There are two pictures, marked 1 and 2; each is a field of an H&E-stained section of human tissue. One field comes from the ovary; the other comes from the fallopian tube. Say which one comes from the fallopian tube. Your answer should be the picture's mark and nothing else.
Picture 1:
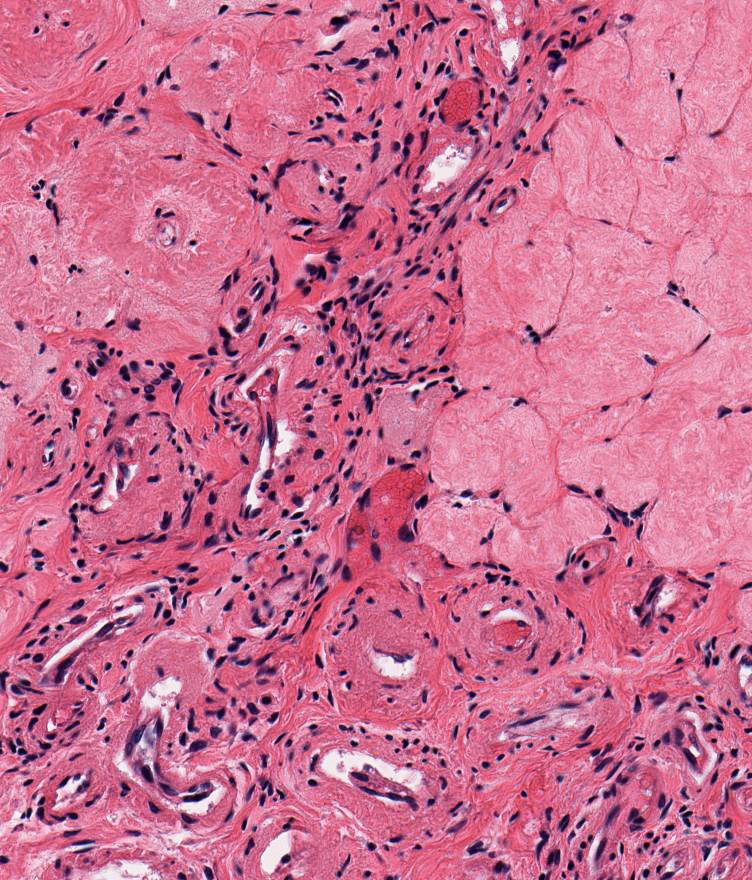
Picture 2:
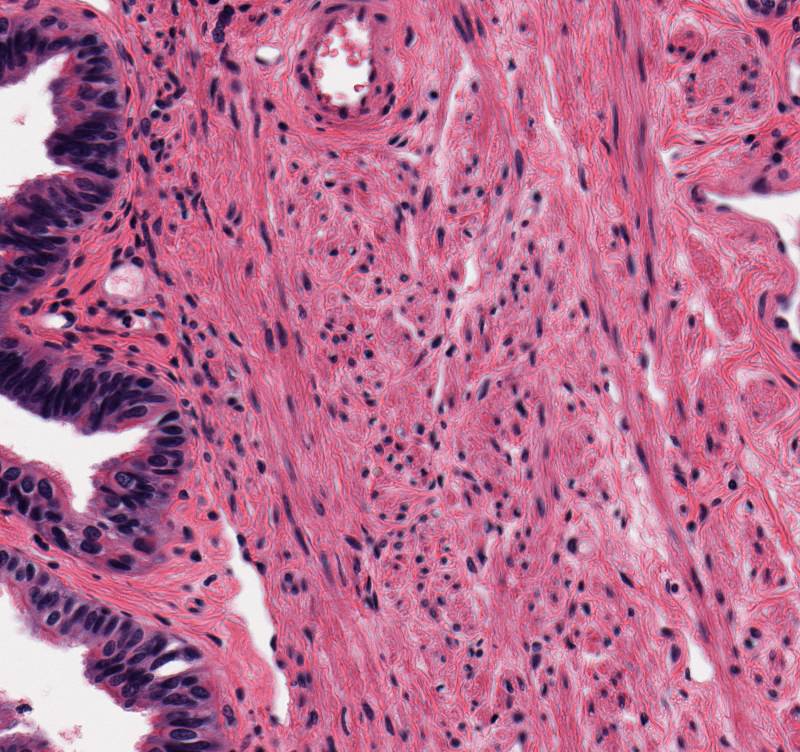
2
